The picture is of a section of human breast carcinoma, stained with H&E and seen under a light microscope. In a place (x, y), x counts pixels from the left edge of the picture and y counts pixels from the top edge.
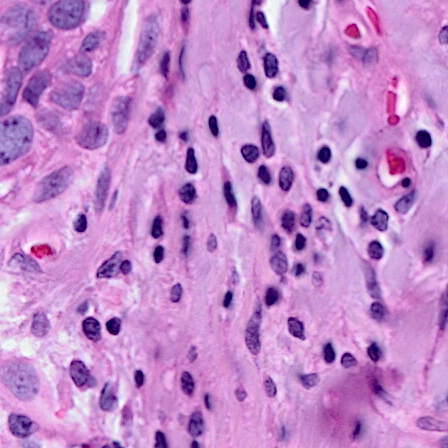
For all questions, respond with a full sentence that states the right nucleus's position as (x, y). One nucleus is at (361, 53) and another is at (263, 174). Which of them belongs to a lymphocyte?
The nucleus at (263, 174), rather than the other, belongs to a lymphocyte.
